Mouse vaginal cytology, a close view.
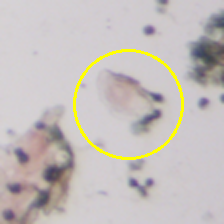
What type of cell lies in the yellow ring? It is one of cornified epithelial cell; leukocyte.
The ringed cell is a cornified epithelial cell.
